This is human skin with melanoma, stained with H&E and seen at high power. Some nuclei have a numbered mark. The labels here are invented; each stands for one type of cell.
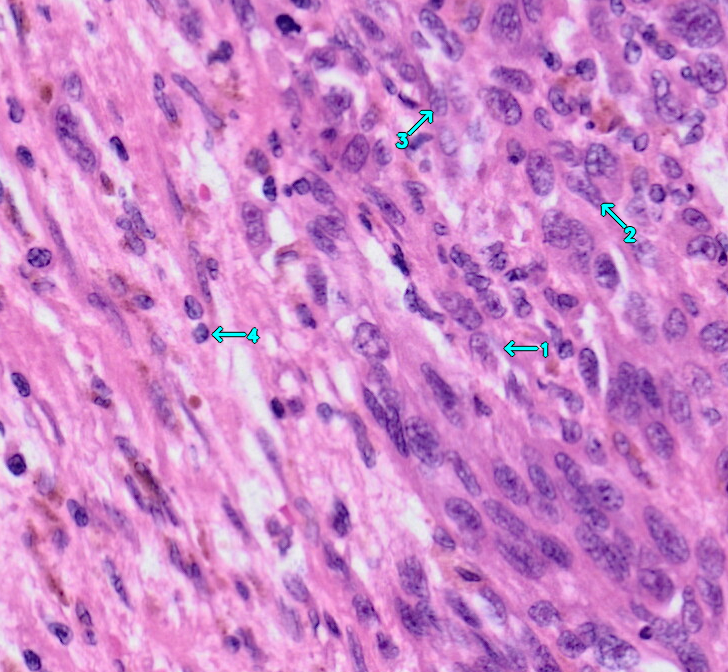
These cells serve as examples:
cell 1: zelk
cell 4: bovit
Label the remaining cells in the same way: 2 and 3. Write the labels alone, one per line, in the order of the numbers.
zelk
zelk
